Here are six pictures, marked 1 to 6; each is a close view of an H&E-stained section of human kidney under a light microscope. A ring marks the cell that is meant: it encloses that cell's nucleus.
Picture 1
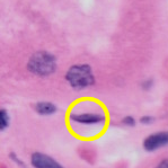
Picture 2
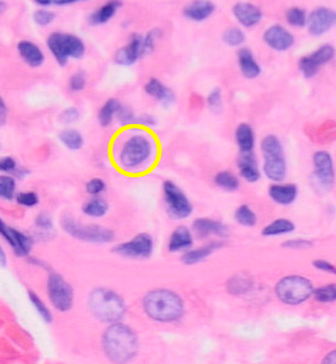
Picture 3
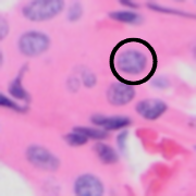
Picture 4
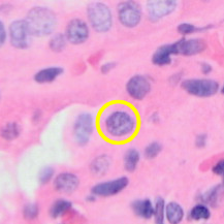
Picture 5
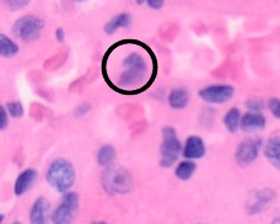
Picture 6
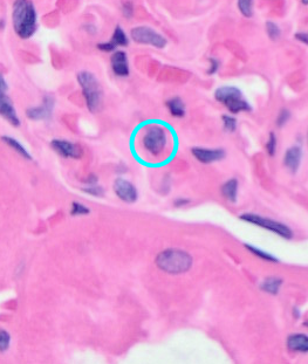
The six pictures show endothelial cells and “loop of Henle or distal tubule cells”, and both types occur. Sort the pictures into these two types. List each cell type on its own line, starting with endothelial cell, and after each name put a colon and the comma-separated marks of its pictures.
endothelial cell: 1, 2, 5, 6
loop of Henle or distal tubule cell: 3, 4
